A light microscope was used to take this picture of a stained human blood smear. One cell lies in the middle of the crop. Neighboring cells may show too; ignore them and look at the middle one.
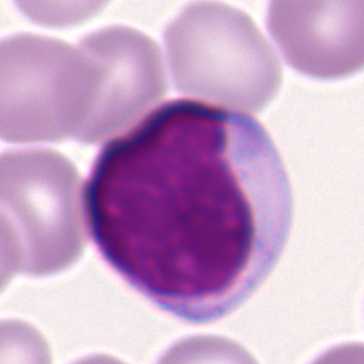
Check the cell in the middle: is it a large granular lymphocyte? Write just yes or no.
yes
